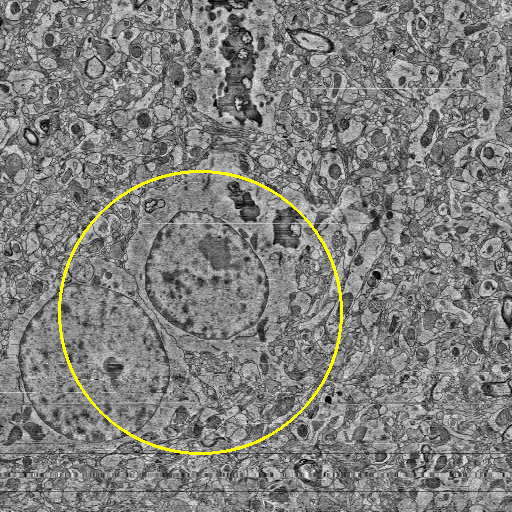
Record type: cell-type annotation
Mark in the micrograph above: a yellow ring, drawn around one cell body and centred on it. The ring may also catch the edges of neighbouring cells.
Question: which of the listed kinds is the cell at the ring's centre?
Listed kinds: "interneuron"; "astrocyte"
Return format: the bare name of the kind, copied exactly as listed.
astrocyte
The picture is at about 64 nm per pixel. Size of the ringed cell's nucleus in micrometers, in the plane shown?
The ringed cell's nucleus is about 9 micrometres long and 8 micrometres wide in this plane.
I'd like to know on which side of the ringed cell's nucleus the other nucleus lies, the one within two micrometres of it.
The other nucleus is found to the lower left of it.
